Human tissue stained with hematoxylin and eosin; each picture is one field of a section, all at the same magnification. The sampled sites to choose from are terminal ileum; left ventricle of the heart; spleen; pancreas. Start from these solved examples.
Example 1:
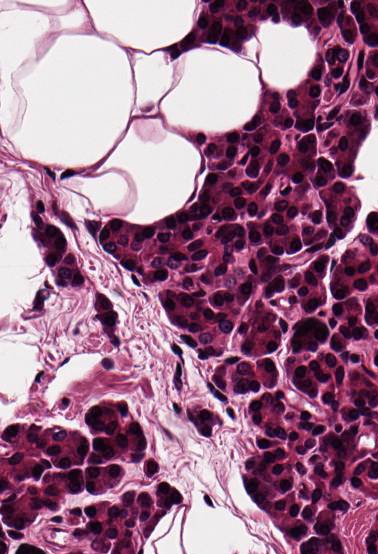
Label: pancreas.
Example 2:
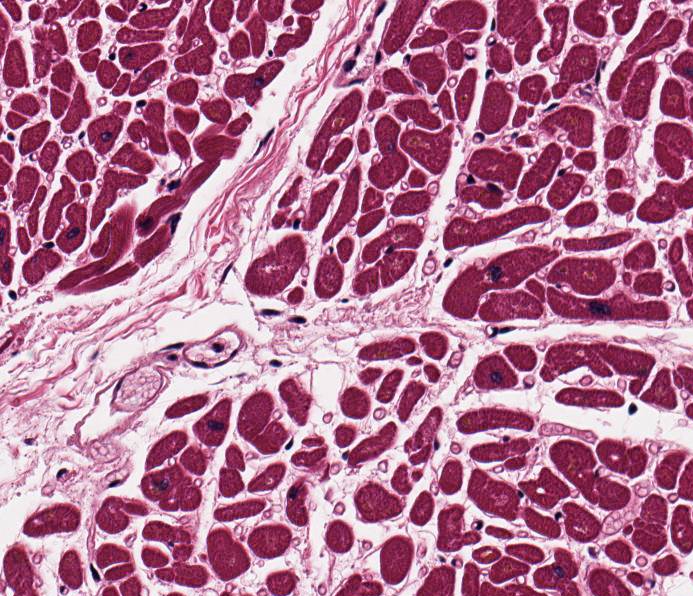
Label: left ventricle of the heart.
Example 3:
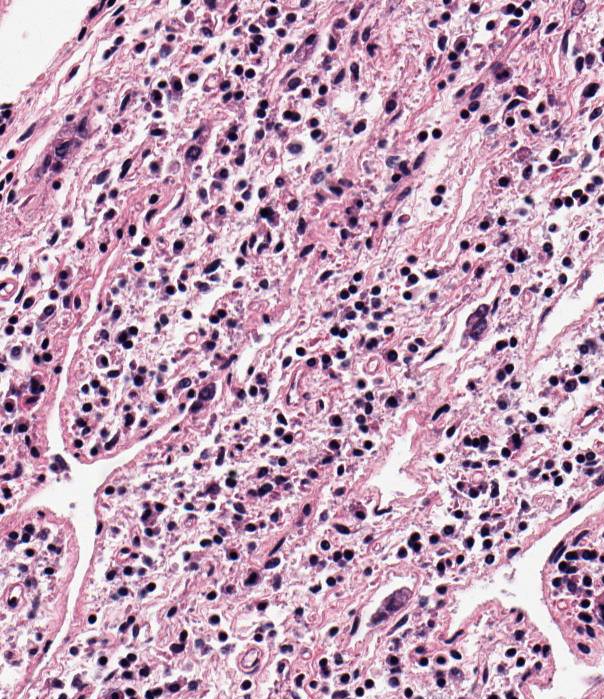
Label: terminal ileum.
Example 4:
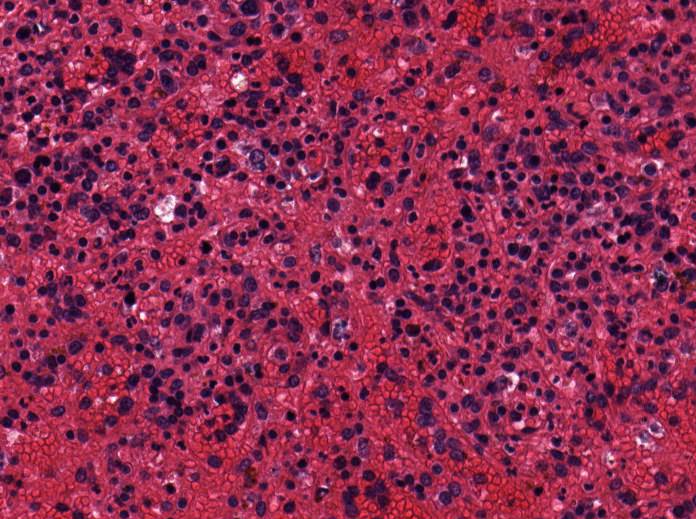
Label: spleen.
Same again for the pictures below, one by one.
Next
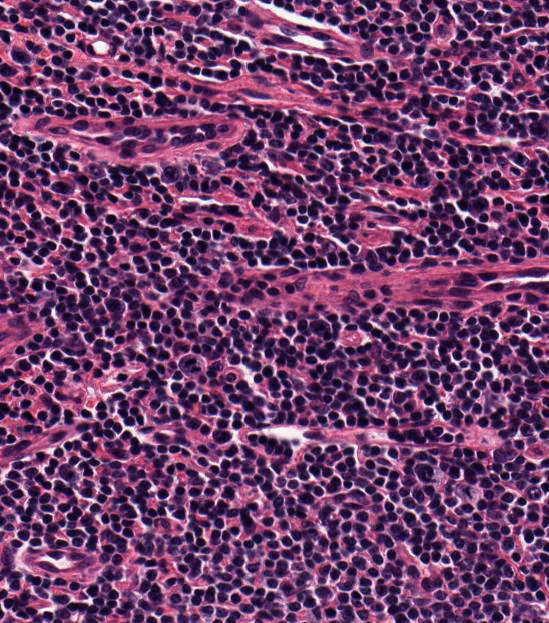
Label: terminal ileum.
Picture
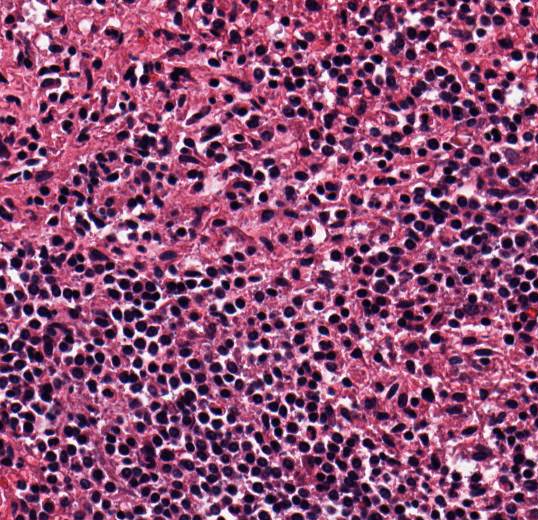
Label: spleen.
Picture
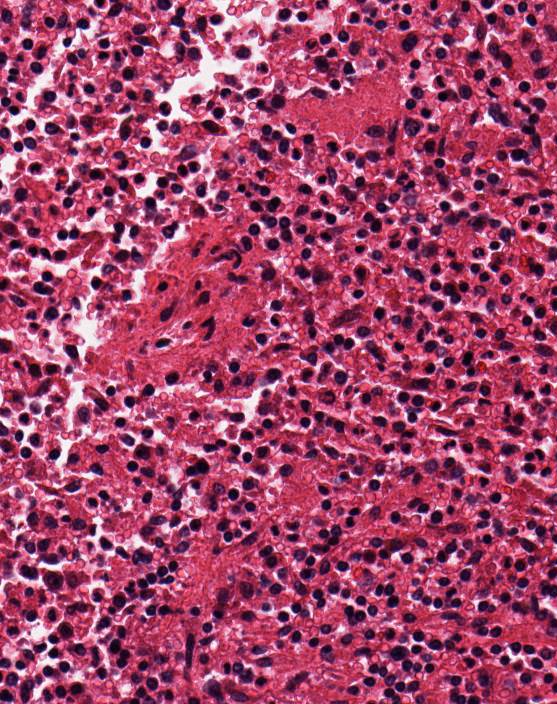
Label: spleen.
